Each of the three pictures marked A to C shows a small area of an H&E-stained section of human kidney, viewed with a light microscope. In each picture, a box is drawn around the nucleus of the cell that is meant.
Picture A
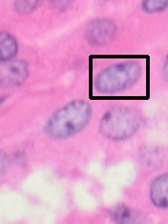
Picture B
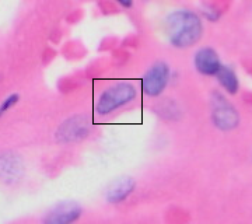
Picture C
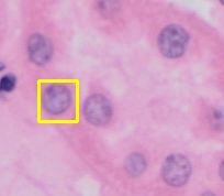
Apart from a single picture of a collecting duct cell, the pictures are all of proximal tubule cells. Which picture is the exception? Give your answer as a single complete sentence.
Picture B shows the collecting duct cell.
